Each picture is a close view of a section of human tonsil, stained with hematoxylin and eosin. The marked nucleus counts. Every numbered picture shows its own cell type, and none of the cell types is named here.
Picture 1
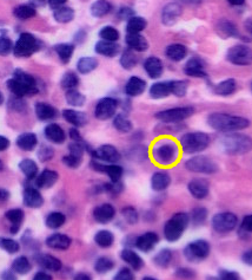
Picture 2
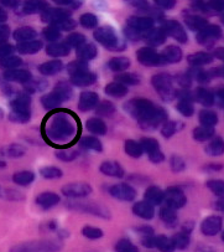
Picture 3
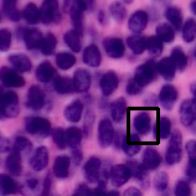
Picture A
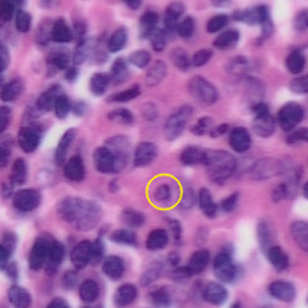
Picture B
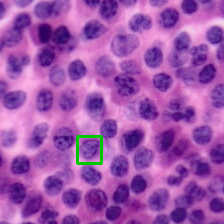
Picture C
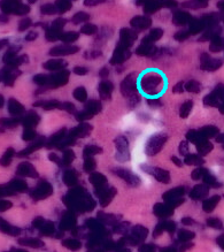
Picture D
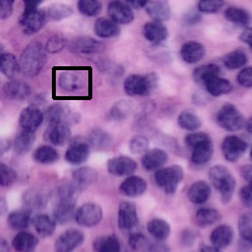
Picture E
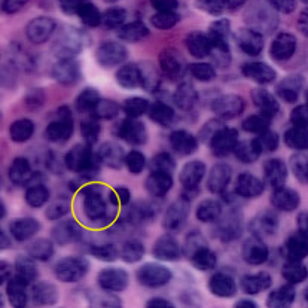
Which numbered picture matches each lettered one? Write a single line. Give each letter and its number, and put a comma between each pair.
A 1, B 2, C 1, D 1, E 3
